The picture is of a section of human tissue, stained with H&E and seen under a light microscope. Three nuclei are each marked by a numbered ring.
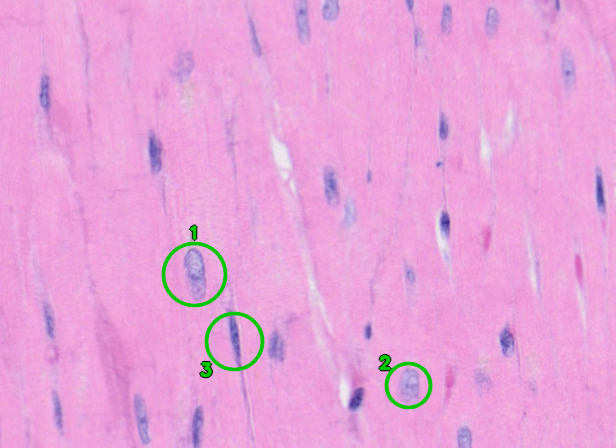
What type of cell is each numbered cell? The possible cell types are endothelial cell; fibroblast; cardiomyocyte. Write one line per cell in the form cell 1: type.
cell 1: cardiomyocyte
cell 2: cardiomyocyte
cell 3: endothelial cell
